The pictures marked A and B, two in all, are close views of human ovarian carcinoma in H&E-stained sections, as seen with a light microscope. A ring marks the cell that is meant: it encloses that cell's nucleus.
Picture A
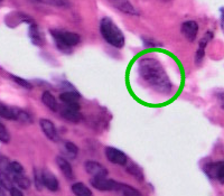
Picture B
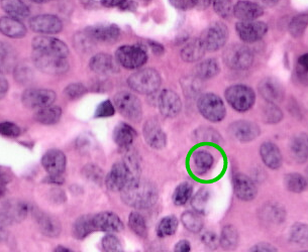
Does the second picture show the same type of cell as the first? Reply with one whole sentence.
Yes; the cells in both pictures are “macrophages or monocytes”.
